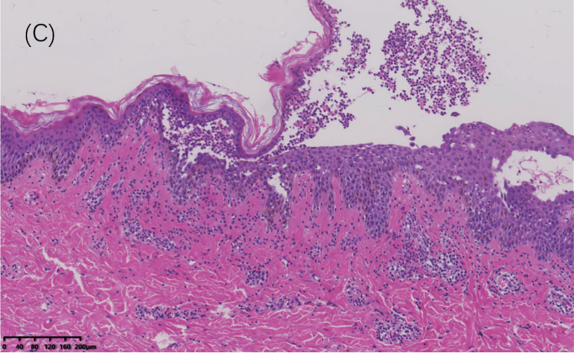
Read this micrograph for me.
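Skin with a blister forming in the upper epidermis, its thin pink roof peeled up and away. A loose cluster of detached, rounded cells lies within and above the cavity, no longer joined to their neighbours. The remaining epidermis is irregular, and the pink dermis beneath is crowded with purple inflammatory cells.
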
